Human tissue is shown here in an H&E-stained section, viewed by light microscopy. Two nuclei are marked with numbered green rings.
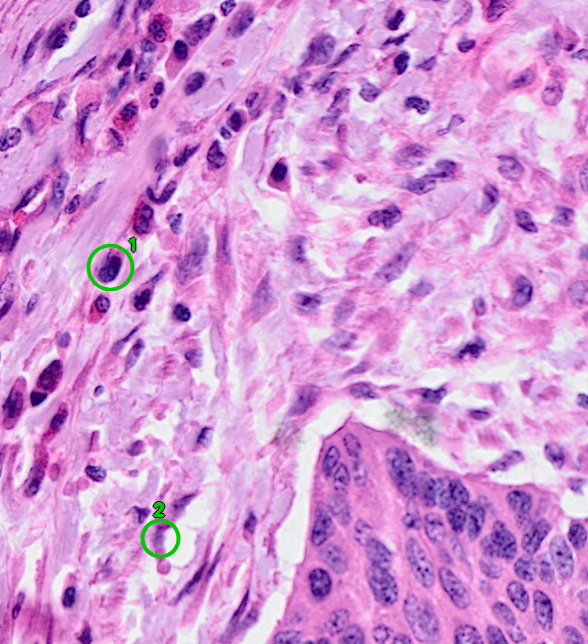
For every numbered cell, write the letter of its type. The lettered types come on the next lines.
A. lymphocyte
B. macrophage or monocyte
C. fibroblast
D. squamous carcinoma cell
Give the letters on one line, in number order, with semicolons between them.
A; C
